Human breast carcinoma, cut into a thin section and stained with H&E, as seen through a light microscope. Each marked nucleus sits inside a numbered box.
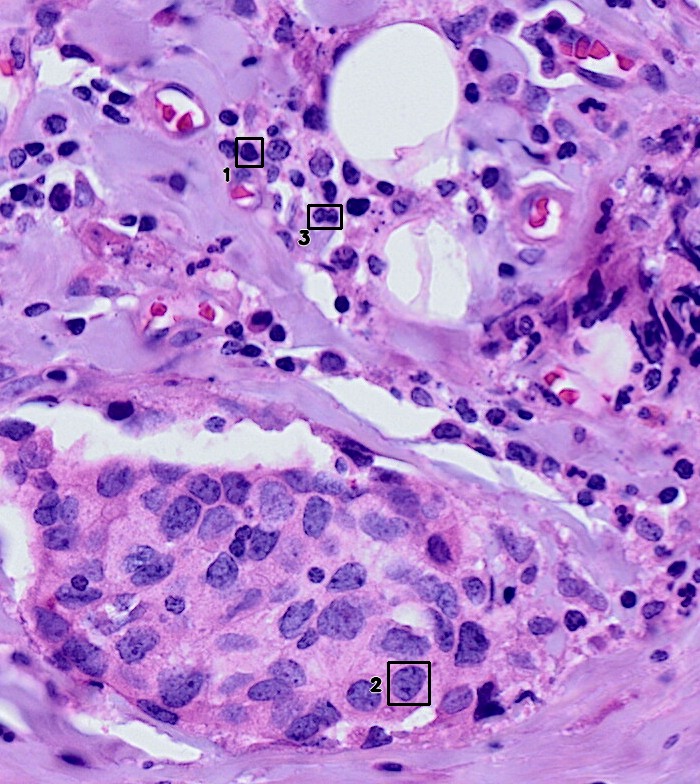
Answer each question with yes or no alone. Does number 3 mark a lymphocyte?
yes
